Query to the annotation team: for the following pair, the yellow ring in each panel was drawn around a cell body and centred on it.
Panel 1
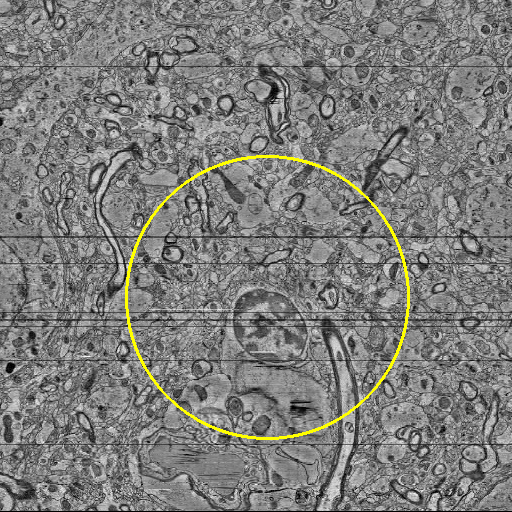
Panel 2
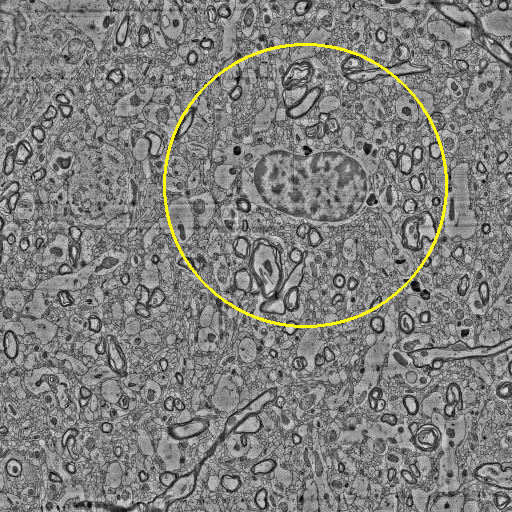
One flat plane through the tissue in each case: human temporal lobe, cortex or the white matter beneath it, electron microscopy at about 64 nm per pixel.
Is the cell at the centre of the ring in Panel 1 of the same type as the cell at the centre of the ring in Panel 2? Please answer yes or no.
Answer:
yes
